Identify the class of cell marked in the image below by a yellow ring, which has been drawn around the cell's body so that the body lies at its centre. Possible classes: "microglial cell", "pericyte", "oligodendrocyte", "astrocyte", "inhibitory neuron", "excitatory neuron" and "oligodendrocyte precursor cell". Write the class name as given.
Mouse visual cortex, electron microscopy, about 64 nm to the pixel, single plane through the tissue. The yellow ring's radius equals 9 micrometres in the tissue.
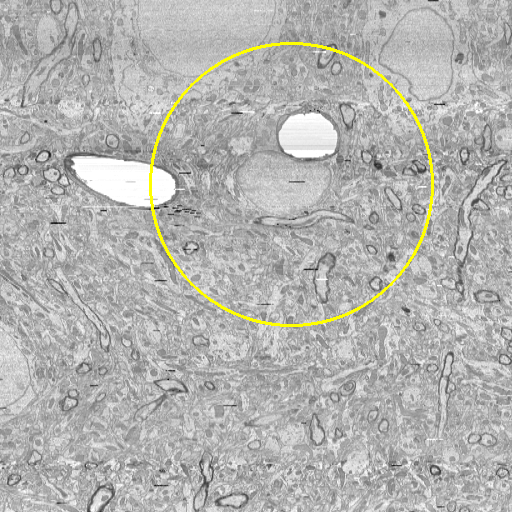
astrocyte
